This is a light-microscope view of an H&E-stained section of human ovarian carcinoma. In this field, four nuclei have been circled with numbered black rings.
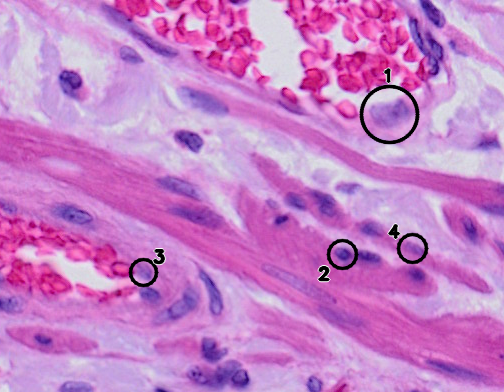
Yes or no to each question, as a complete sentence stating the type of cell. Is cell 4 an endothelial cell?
No, it is a smooth muscle cell, not an endothelial cell, that number 4 marks.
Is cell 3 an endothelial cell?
Yes, with respect to number 3, the cell is an endothelial cell.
